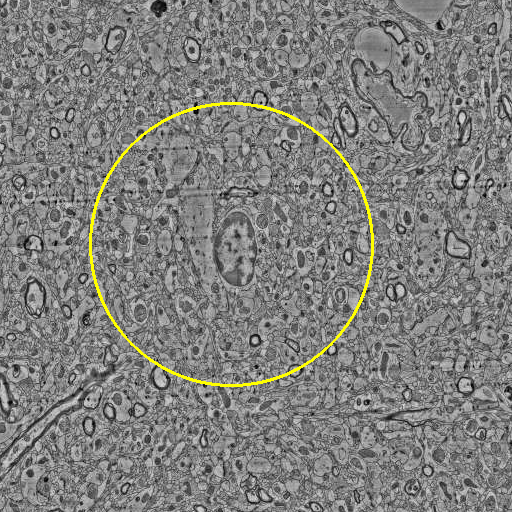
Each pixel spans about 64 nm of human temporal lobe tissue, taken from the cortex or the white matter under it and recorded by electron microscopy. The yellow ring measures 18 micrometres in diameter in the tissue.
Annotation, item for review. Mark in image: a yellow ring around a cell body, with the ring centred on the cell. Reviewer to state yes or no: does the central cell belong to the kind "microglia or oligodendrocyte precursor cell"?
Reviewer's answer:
yes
